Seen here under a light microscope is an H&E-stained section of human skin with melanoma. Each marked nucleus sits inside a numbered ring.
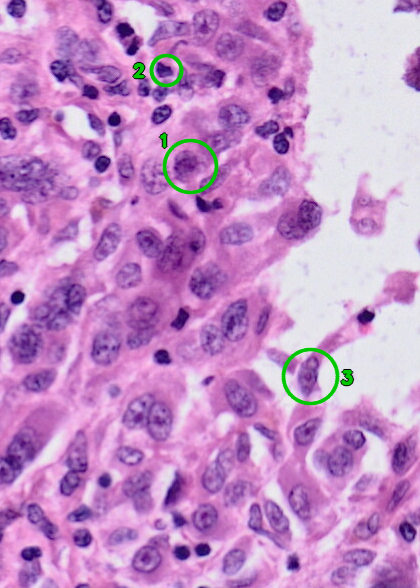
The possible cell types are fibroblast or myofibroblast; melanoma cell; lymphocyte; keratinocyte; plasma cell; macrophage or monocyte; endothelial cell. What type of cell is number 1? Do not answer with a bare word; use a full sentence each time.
Regarding cell 1, this one is a melanoma cell.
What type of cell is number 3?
The nucleus marked 3 is the nucleus of a melanoma cell.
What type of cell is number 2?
The nucleus labeled 2 belongs to a lymphocyte.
